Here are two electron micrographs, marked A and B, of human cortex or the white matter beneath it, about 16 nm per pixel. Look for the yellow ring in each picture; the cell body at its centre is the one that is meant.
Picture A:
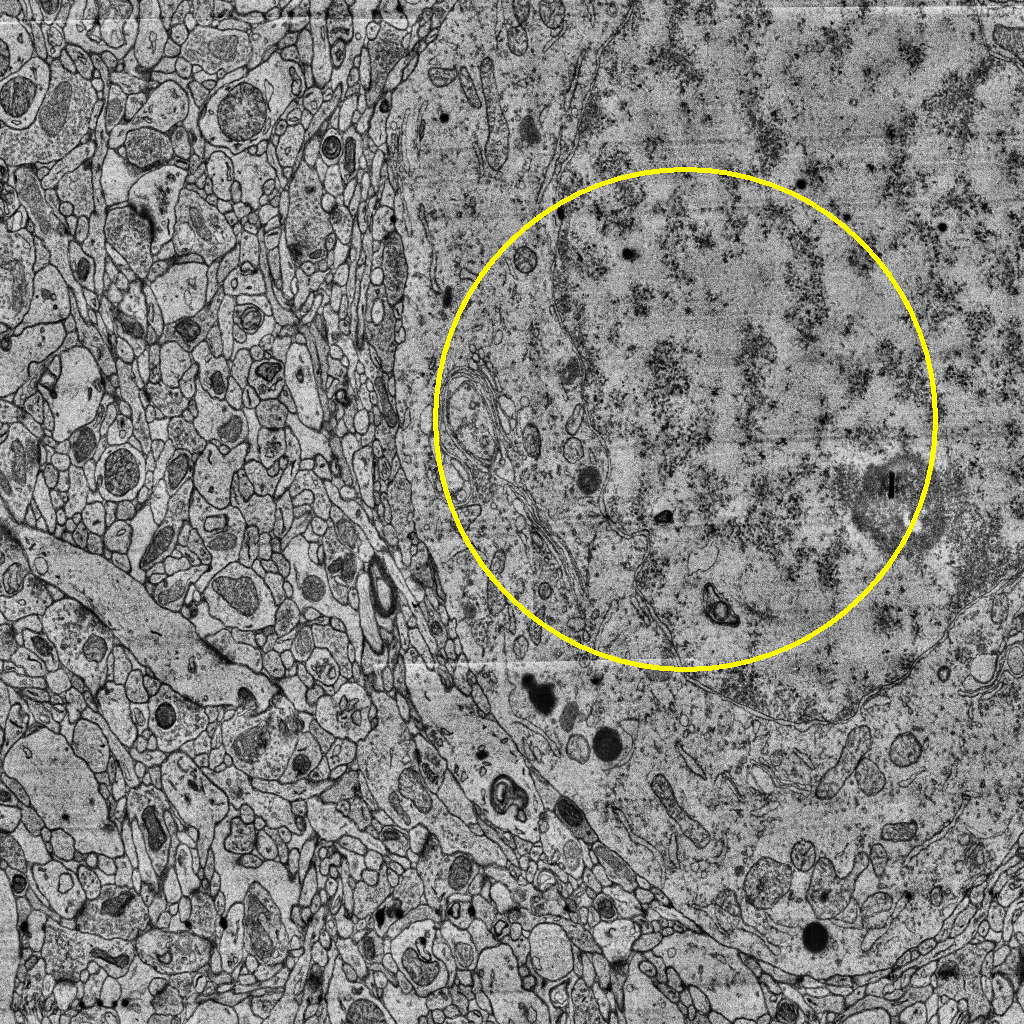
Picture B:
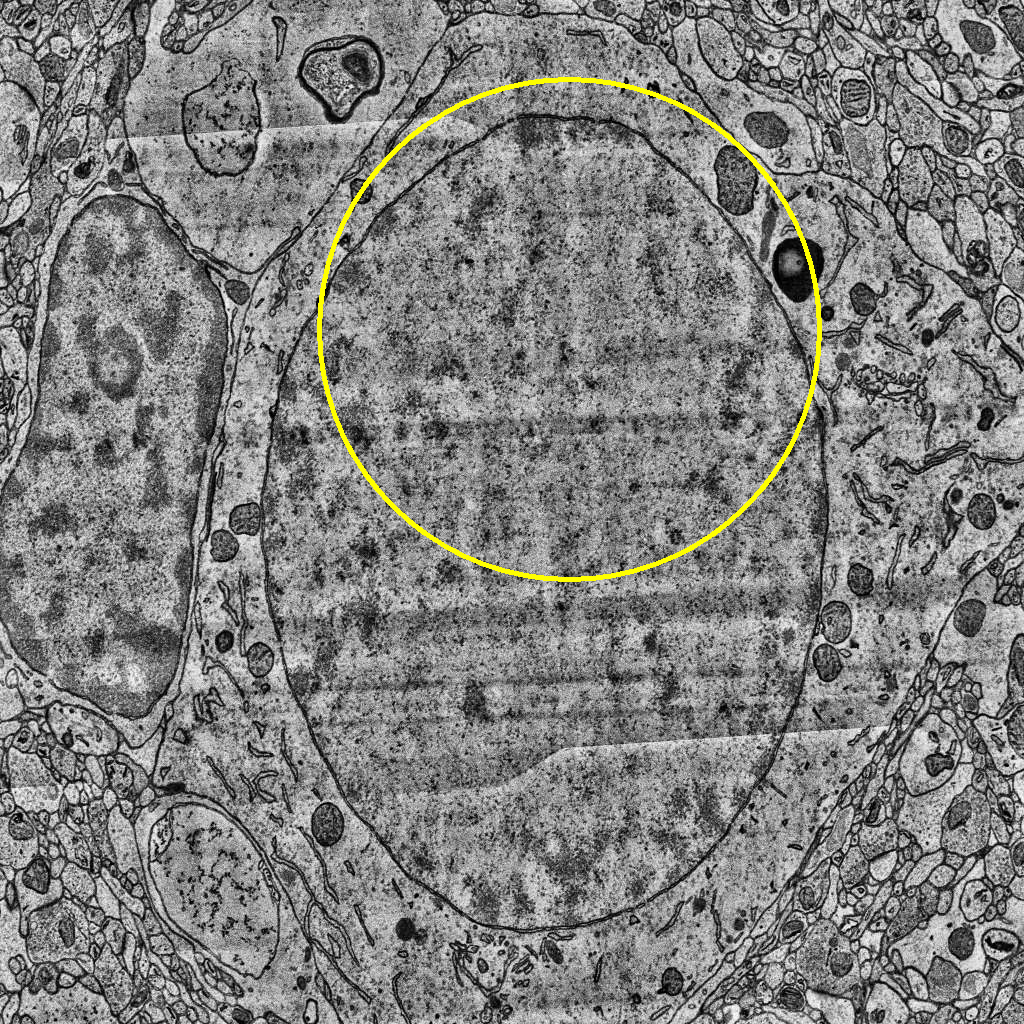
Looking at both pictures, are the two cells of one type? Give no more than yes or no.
no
